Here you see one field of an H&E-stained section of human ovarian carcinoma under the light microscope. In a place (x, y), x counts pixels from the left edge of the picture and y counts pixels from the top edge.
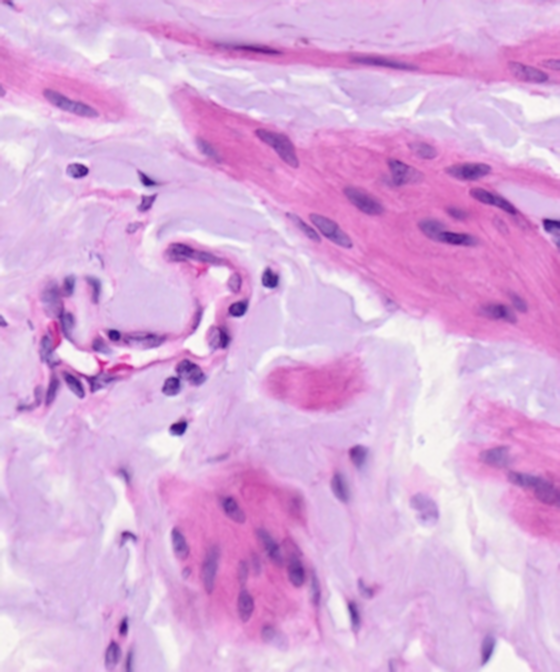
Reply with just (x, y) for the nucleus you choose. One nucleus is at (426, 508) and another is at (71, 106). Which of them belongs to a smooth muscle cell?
(71, 106)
